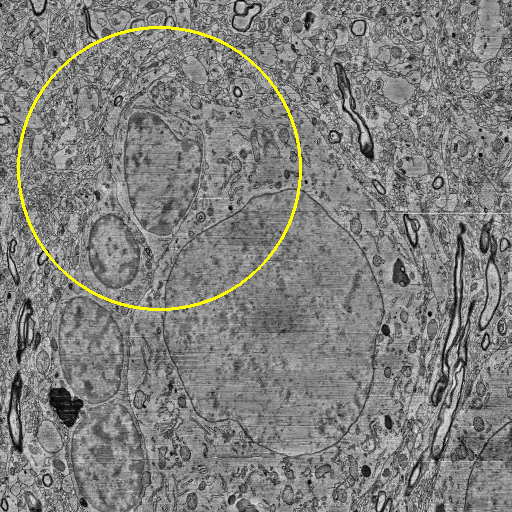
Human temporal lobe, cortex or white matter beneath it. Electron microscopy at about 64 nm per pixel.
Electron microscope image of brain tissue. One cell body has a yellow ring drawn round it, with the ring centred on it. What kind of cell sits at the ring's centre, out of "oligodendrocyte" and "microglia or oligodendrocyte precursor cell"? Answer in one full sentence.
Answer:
It is a microglial cell or oligodendrocyte precursor cell whose cell body sits at the centre of the yellow ring.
